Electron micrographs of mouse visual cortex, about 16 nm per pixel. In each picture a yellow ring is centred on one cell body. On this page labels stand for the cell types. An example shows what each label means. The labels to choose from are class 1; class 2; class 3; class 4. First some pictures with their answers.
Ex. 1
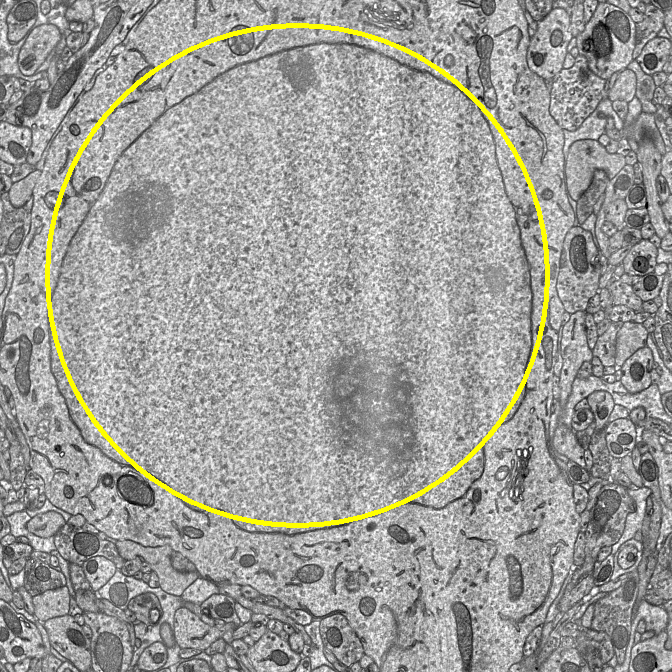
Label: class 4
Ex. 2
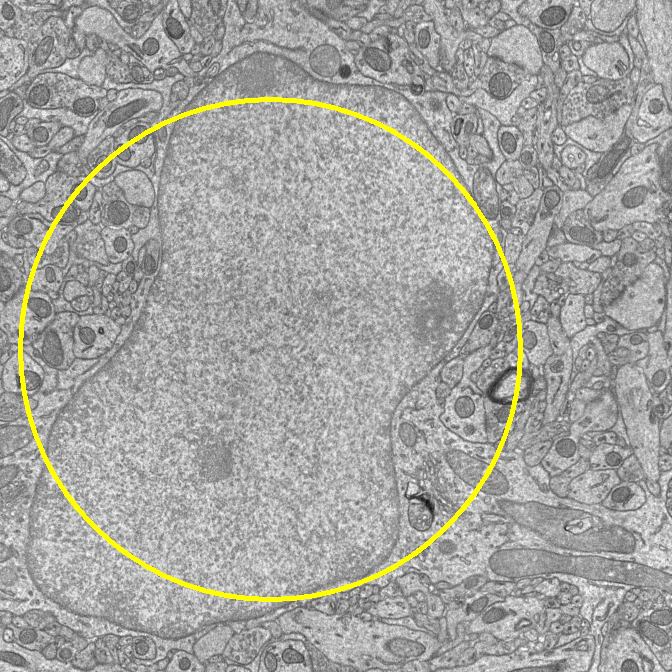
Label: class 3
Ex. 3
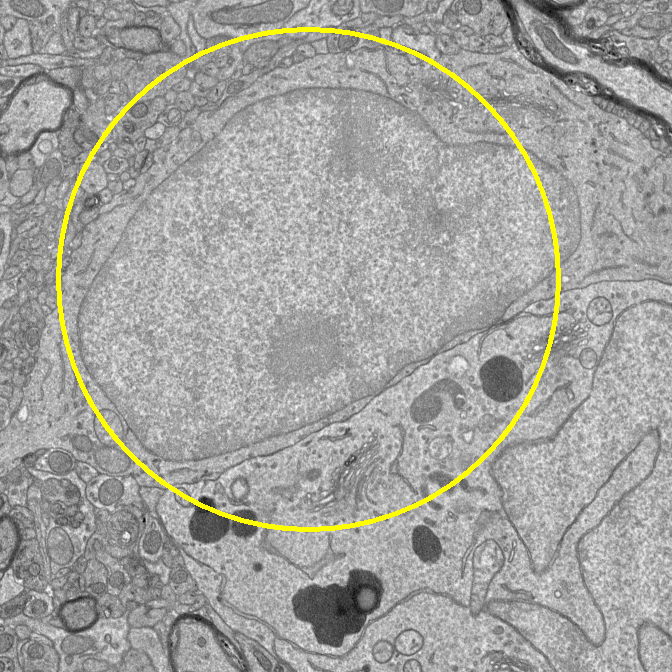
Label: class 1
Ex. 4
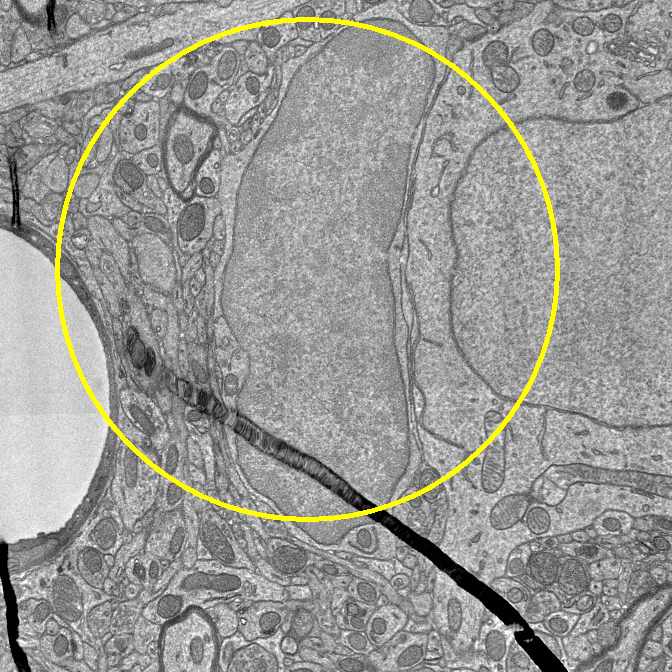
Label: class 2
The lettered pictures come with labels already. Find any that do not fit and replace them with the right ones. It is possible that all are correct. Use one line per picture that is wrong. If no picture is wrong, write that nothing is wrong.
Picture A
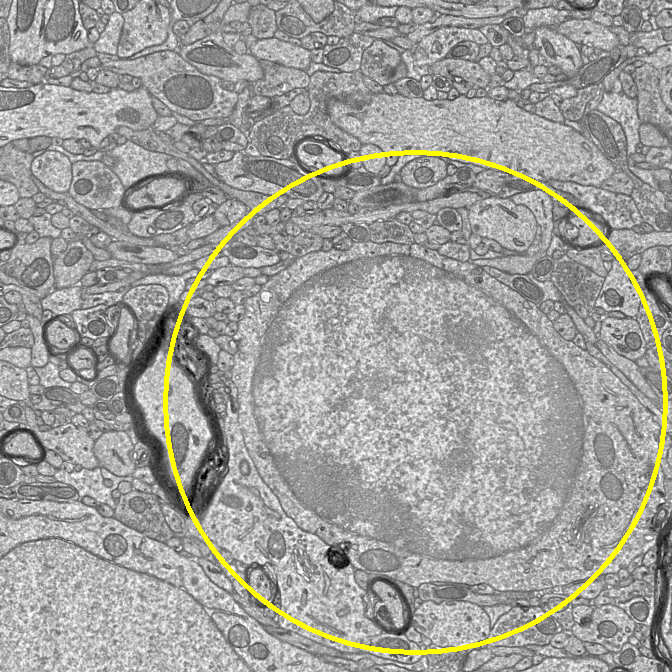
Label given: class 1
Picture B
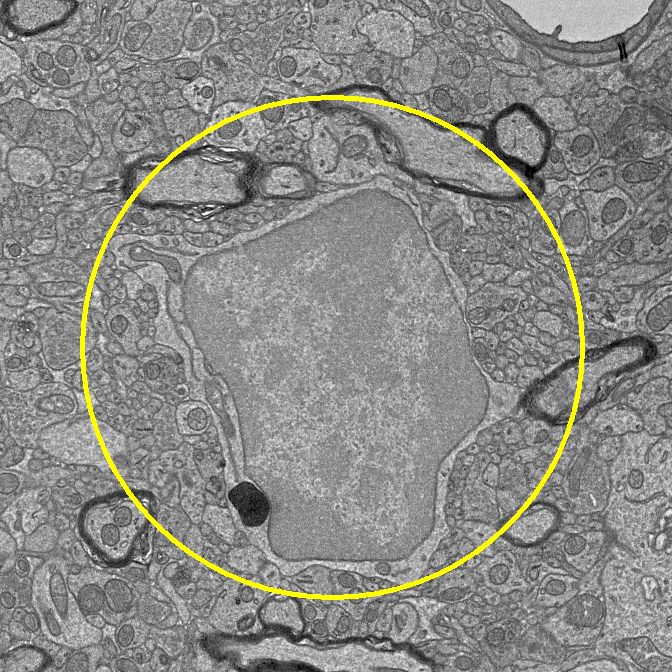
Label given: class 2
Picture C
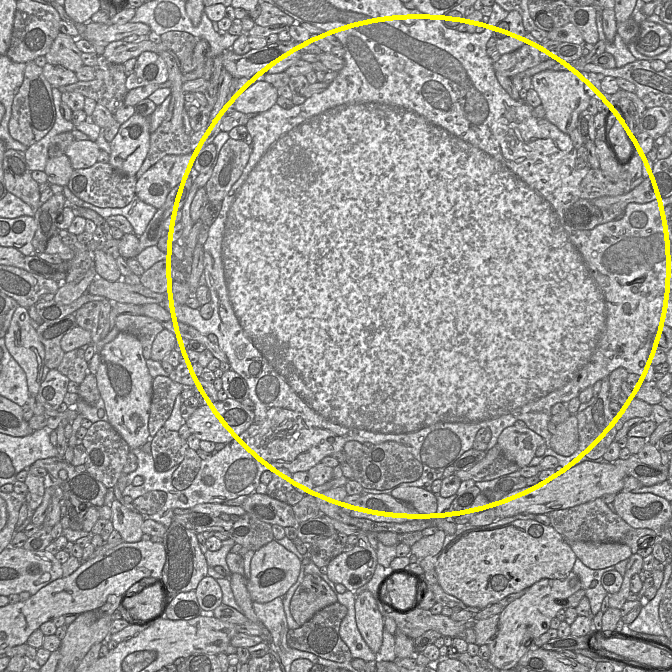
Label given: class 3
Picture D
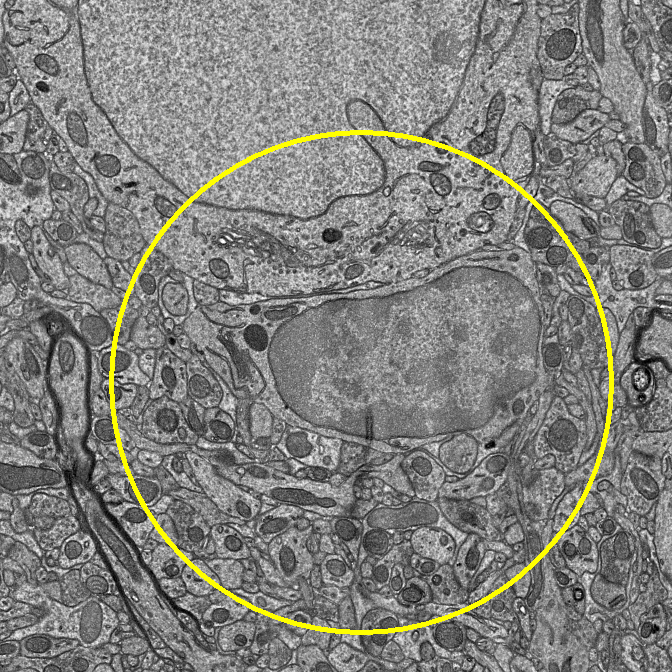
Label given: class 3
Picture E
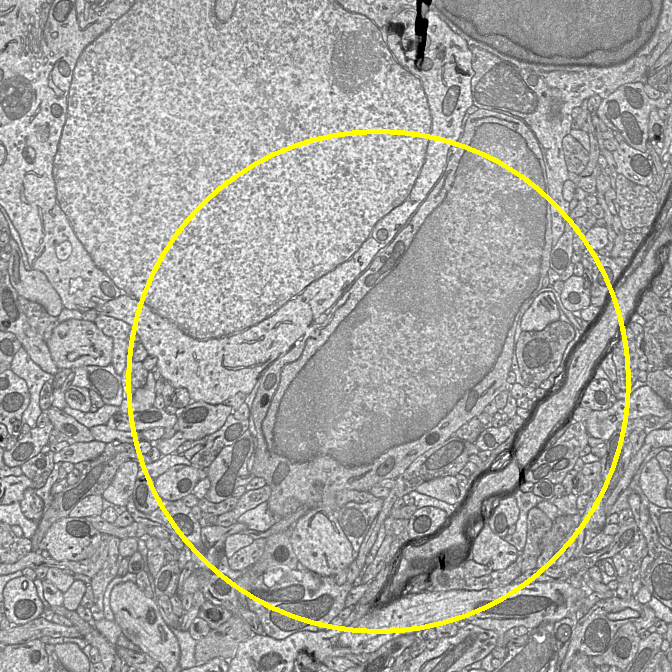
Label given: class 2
Wrong: D (class 3); correct: class 2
